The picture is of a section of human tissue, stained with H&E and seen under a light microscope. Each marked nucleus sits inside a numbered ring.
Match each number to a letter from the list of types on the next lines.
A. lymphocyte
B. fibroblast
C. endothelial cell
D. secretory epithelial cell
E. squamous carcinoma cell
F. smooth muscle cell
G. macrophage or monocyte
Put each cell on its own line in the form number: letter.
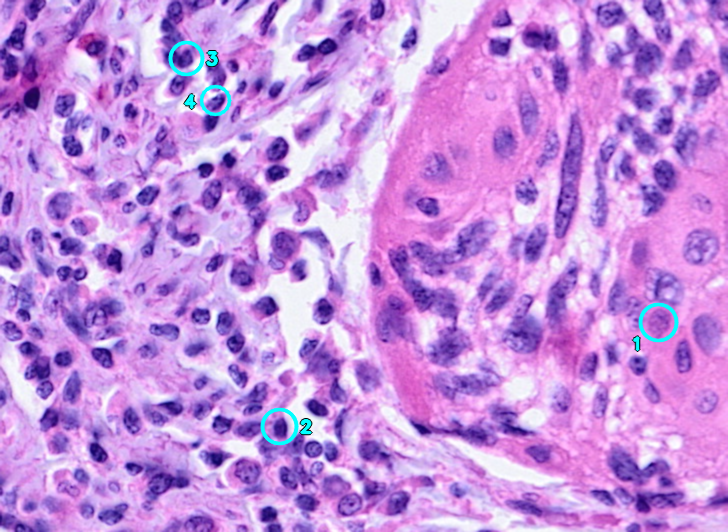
1: E
2: A
3: A
4: A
